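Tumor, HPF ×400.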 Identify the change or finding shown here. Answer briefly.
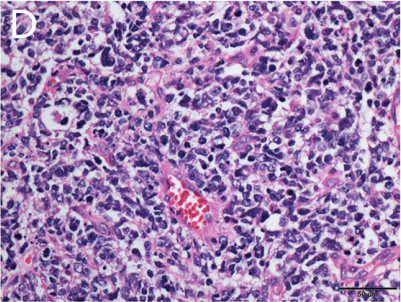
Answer: Atypia as well as rough and dark chromatin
